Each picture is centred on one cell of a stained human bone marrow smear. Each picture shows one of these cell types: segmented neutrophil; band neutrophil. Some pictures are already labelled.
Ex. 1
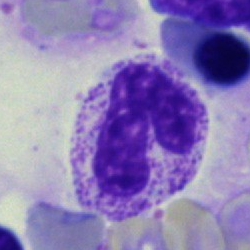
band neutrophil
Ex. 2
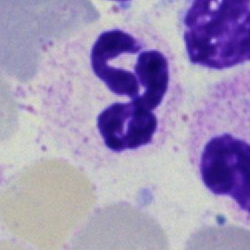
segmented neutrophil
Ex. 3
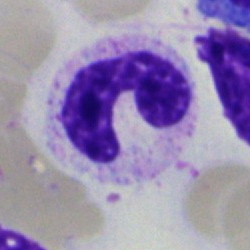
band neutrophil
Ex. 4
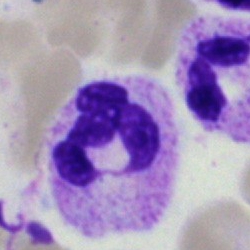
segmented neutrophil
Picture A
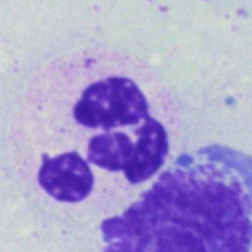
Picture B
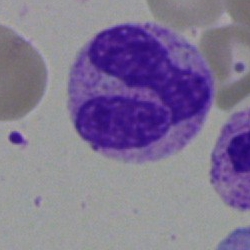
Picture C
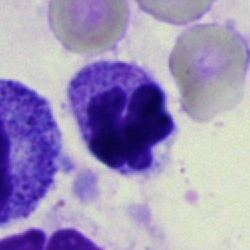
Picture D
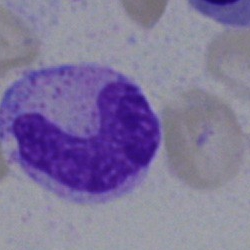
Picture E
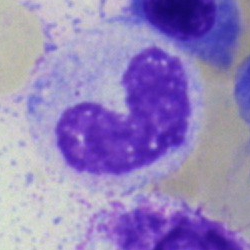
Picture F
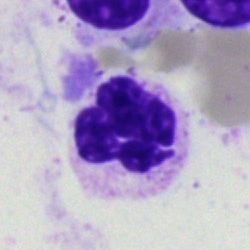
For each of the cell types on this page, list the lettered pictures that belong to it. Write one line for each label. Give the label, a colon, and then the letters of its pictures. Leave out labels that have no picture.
segmented neutrophil: A, B, C, F
band neutrophil: D, E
